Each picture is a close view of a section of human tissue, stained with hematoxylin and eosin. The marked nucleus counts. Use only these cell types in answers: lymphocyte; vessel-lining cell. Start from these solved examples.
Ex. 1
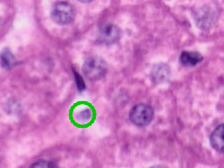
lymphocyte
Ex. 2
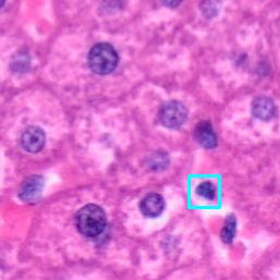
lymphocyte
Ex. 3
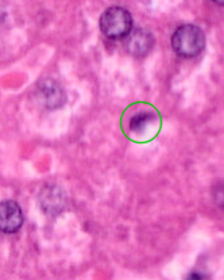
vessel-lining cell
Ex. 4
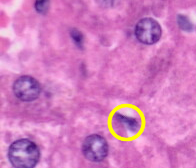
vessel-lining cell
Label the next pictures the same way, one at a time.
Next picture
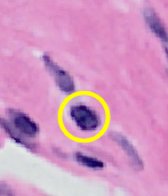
lymphocyte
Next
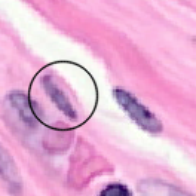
vessel-lining cell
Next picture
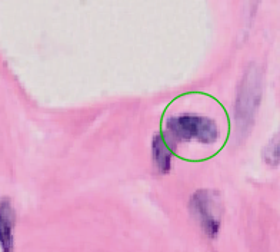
lymphocyte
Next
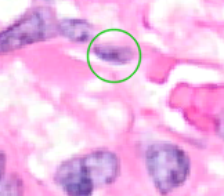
vessel-lining cell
